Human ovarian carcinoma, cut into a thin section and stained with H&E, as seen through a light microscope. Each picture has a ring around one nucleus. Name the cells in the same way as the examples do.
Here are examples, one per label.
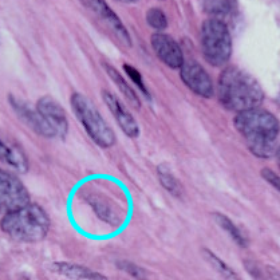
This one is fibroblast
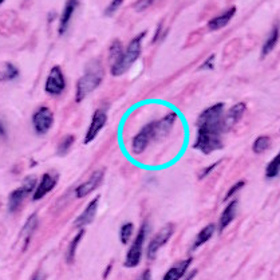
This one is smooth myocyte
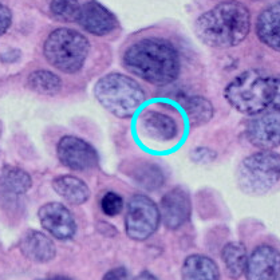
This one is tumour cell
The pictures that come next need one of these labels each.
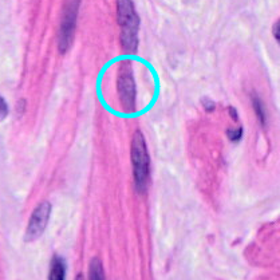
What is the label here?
smooth myocyte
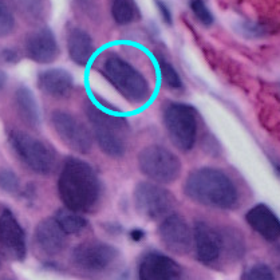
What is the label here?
tumour cell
